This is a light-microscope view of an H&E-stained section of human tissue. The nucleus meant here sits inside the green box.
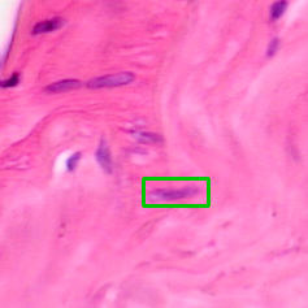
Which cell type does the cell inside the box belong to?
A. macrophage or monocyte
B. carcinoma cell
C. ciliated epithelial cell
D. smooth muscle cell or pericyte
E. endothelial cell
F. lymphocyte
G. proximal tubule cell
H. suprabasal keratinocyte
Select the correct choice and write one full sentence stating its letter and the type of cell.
Option D correctly labels the cell inside the box as a smooth muscle cell or pericyte.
